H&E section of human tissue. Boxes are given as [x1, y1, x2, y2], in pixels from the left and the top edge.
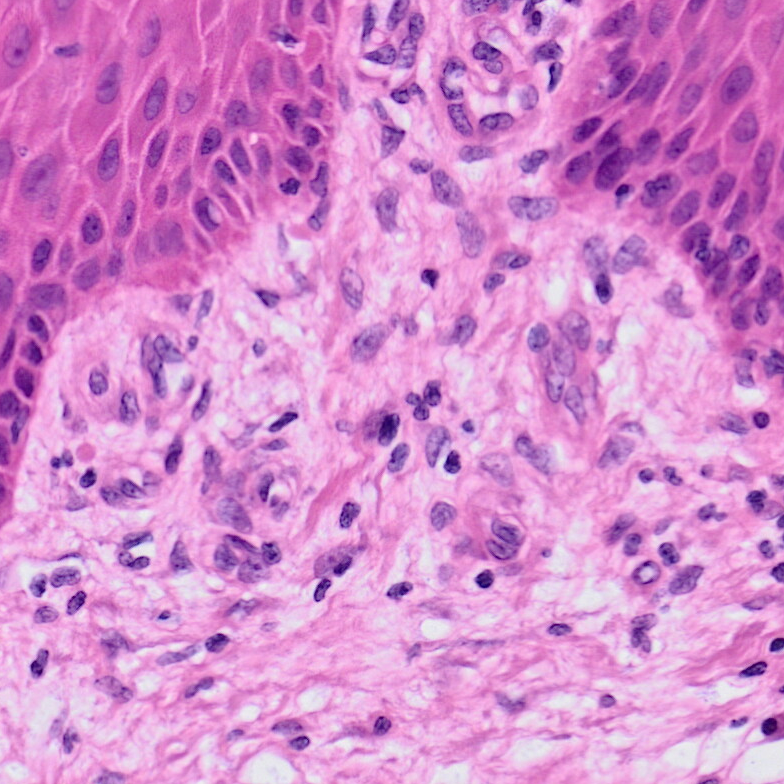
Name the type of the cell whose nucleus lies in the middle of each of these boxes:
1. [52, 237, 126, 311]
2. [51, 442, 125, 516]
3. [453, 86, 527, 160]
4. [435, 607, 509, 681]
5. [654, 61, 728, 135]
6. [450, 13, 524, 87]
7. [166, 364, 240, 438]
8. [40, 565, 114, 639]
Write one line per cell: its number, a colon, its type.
1: keratinocyte
2: lymphocyte
3: endothelial cell
4: fibroblast or myofibroblast
5: keratinocyte
6: endothelial cell
7: fibroblast or myofibroblast
8: lymphocyte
